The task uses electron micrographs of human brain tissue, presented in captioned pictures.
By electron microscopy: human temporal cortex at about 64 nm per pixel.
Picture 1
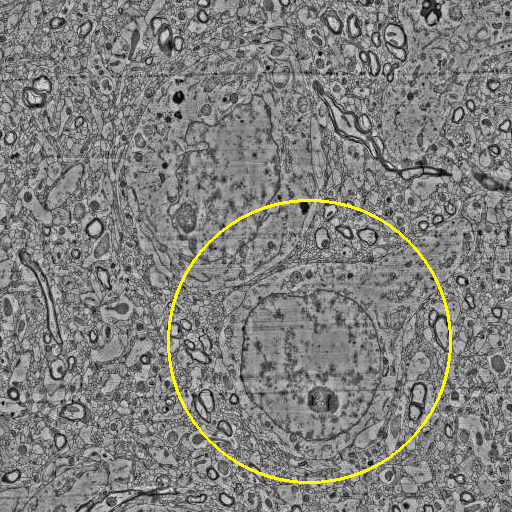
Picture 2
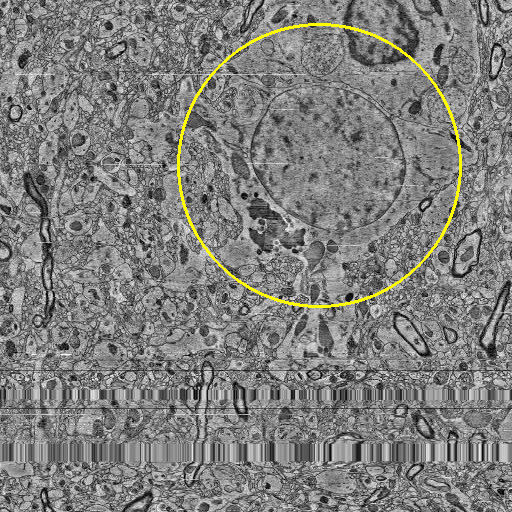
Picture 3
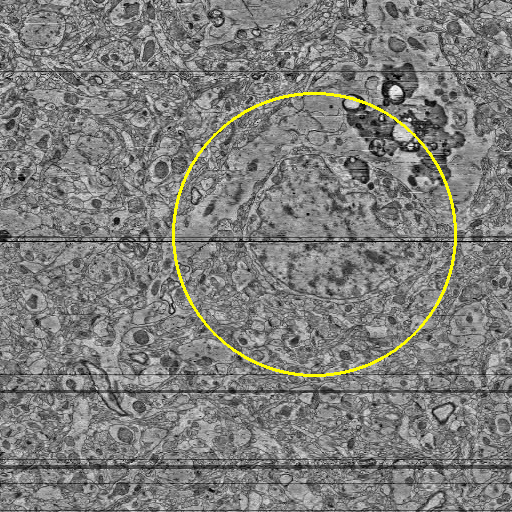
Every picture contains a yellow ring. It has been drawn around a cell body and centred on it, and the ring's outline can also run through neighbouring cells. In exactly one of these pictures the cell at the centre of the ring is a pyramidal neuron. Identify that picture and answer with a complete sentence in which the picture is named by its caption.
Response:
The ring in Picture 1 is centred on that kind of cell.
